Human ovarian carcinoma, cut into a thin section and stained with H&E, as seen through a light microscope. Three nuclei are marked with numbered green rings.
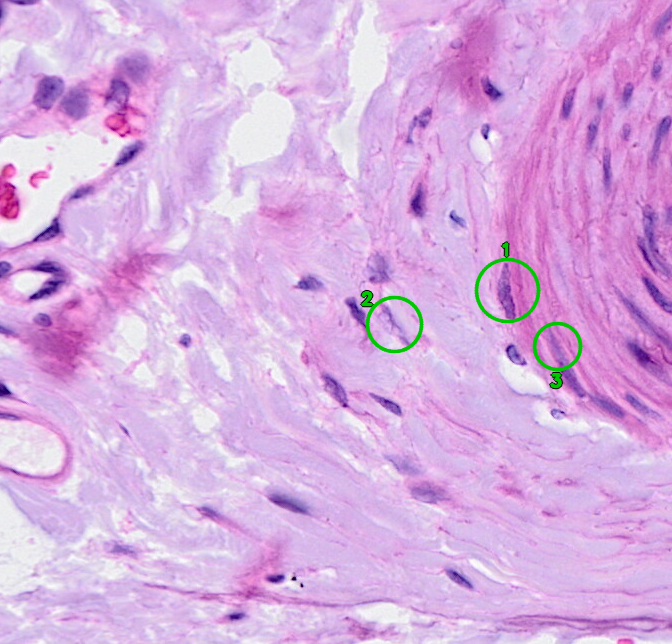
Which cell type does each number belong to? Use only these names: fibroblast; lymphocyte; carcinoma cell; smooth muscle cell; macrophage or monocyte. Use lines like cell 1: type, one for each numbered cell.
cell 1: smooth muscle cell
cell 2: fibroblast
cell 3: smooth muscle cell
